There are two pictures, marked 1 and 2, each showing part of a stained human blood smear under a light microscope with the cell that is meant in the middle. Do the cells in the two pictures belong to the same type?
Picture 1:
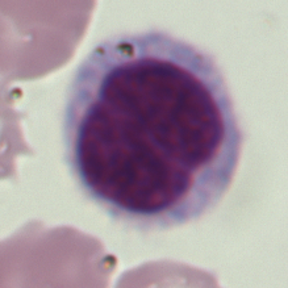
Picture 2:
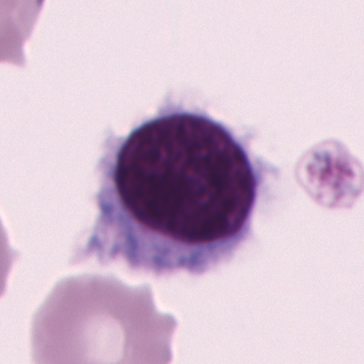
yes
